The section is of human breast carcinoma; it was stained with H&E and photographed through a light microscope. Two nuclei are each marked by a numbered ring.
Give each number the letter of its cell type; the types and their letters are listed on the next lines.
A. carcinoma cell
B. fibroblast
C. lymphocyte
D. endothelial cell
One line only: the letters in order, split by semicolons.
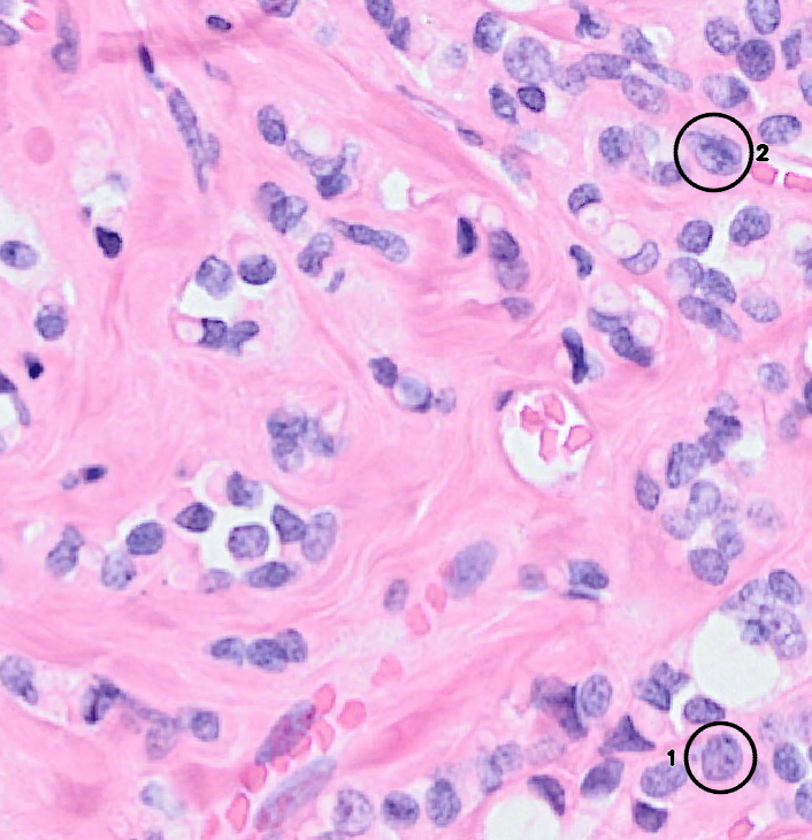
A; D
